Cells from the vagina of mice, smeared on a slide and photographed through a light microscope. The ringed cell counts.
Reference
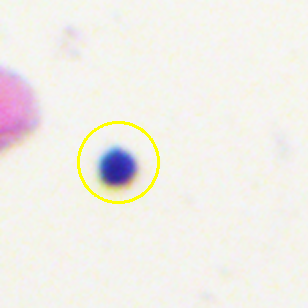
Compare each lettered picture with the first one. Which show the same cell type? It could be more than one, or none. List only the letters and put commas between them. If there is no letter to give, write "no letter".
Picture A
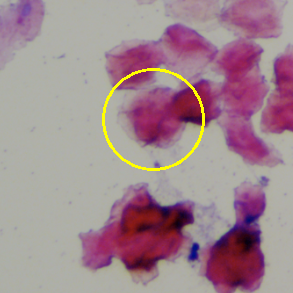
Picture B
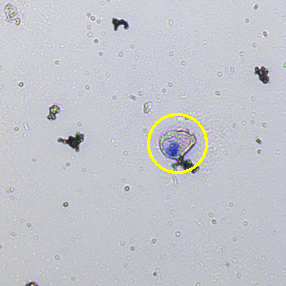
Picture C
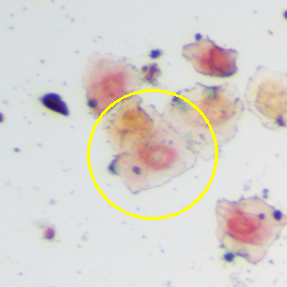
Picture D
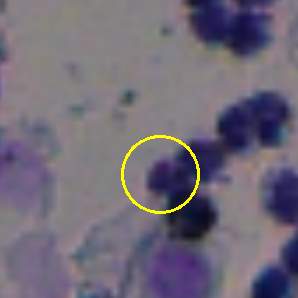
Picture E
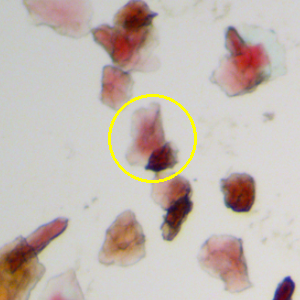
D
